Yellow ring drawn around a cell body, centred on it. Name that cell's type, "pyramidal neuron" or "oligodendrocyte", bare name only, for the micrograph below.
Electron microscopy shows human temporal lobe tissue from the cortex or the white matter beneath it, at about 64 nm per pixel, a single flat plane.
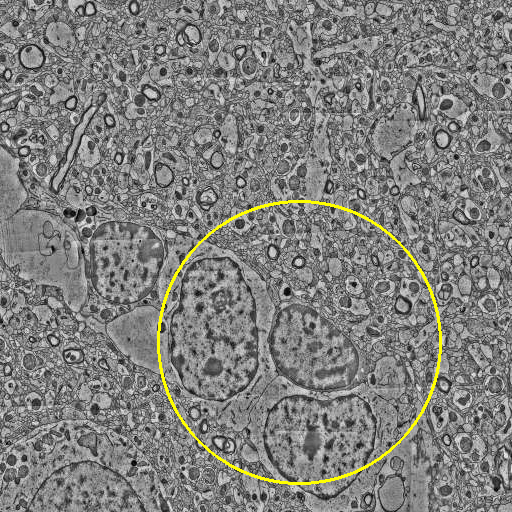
oligodendrocyte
